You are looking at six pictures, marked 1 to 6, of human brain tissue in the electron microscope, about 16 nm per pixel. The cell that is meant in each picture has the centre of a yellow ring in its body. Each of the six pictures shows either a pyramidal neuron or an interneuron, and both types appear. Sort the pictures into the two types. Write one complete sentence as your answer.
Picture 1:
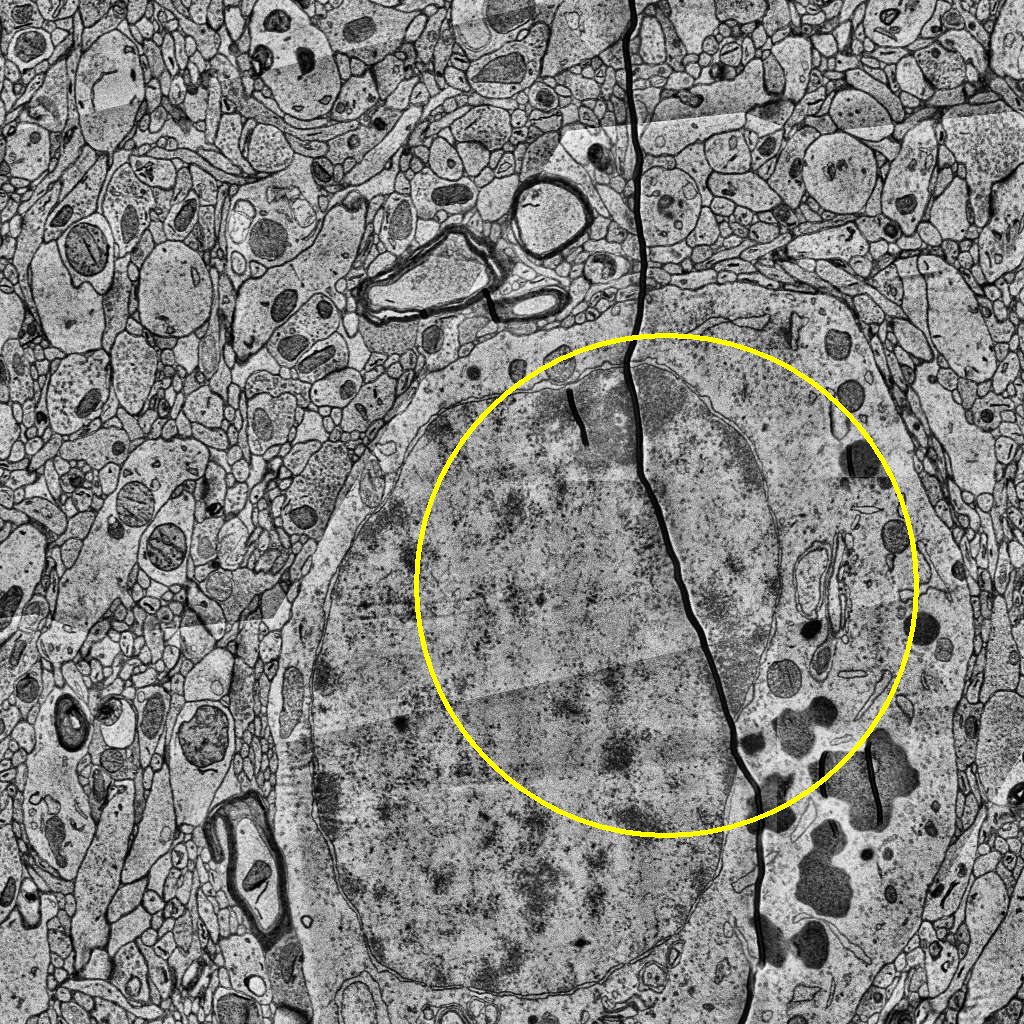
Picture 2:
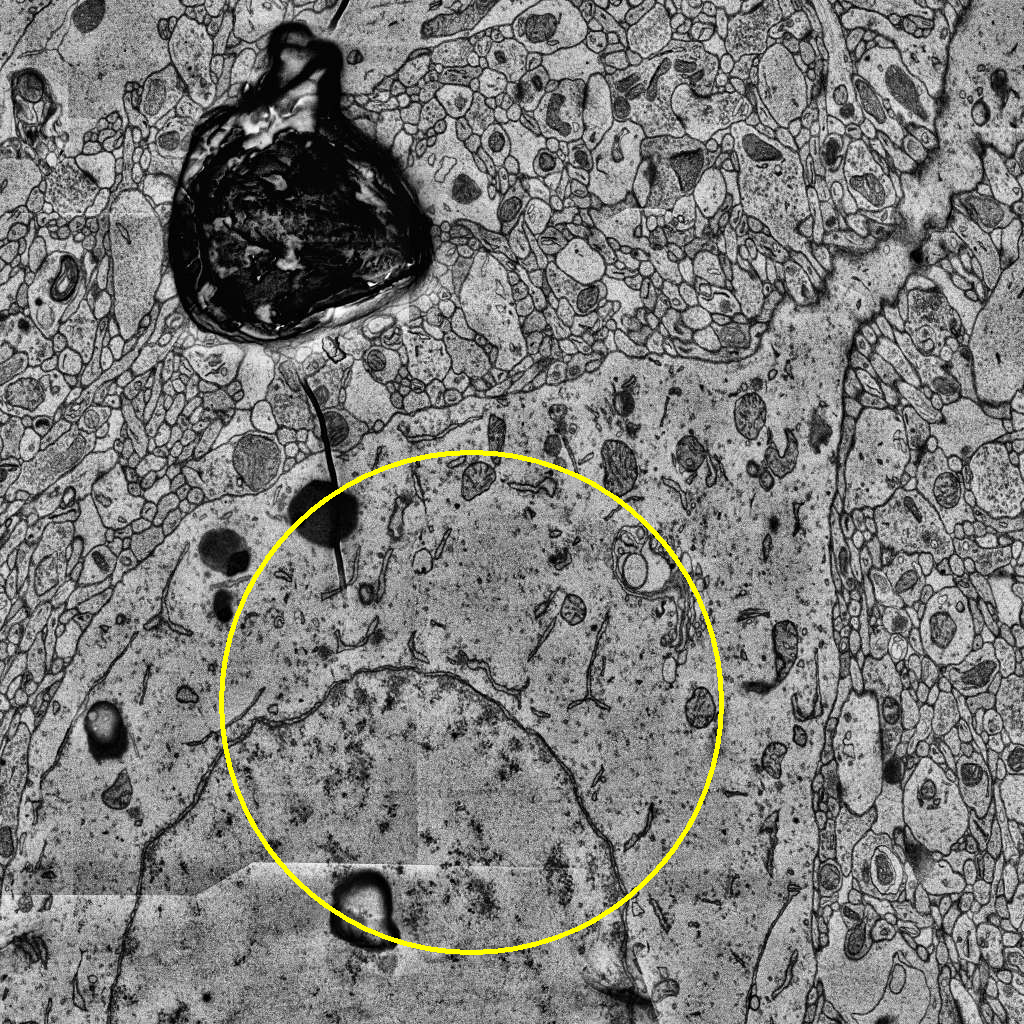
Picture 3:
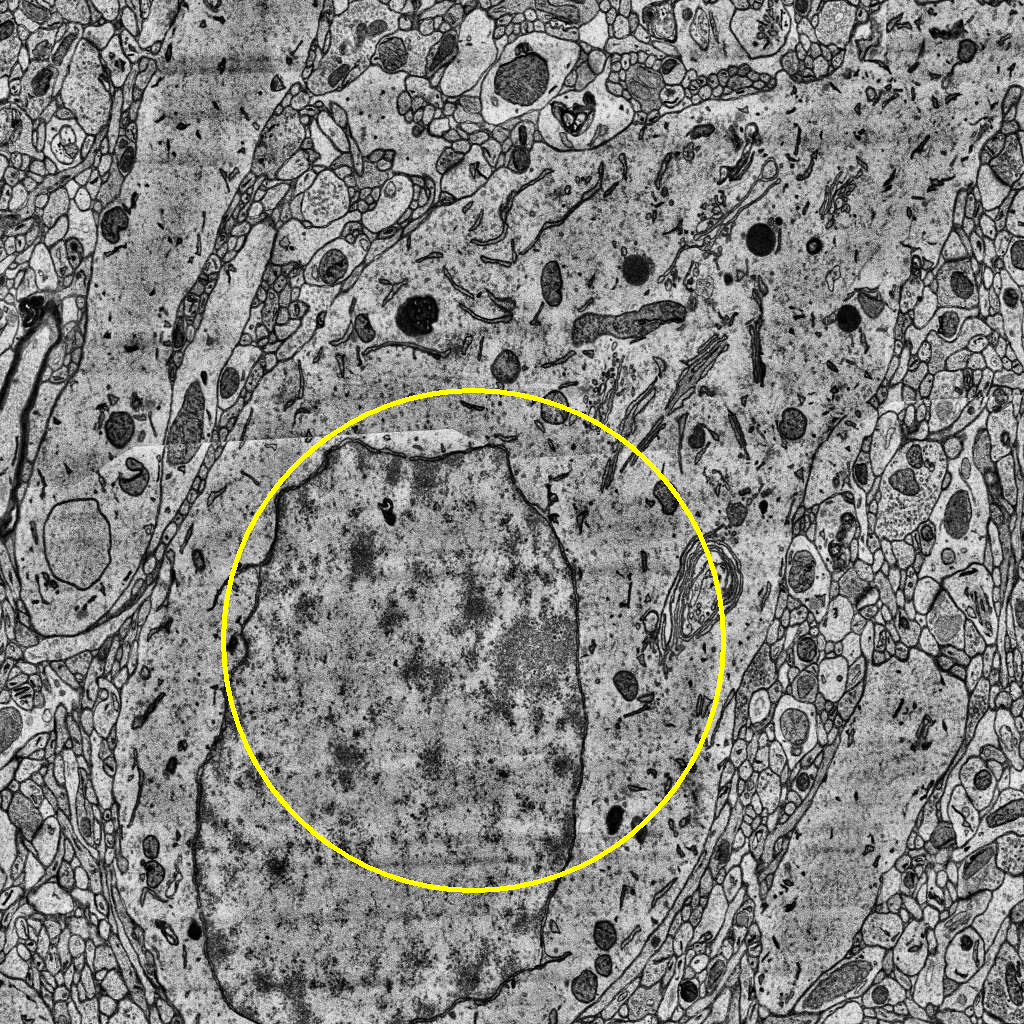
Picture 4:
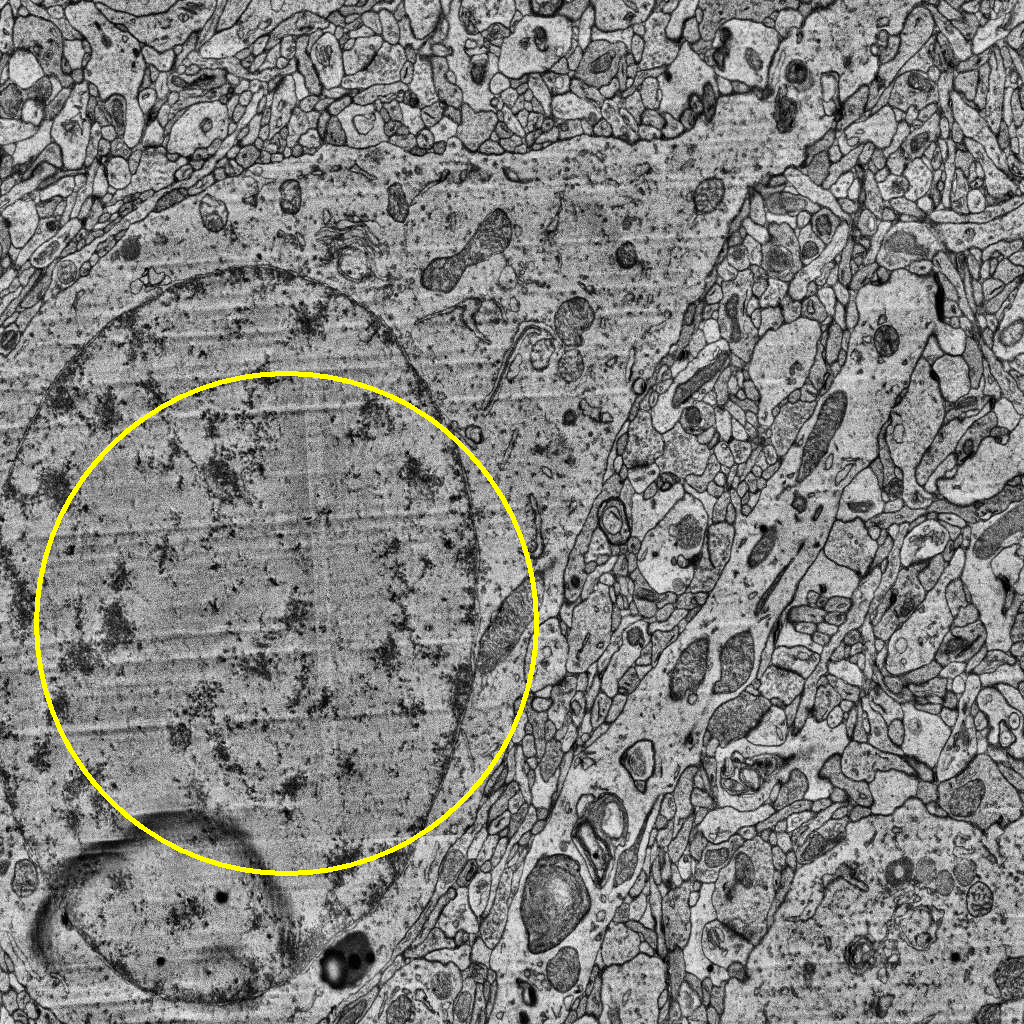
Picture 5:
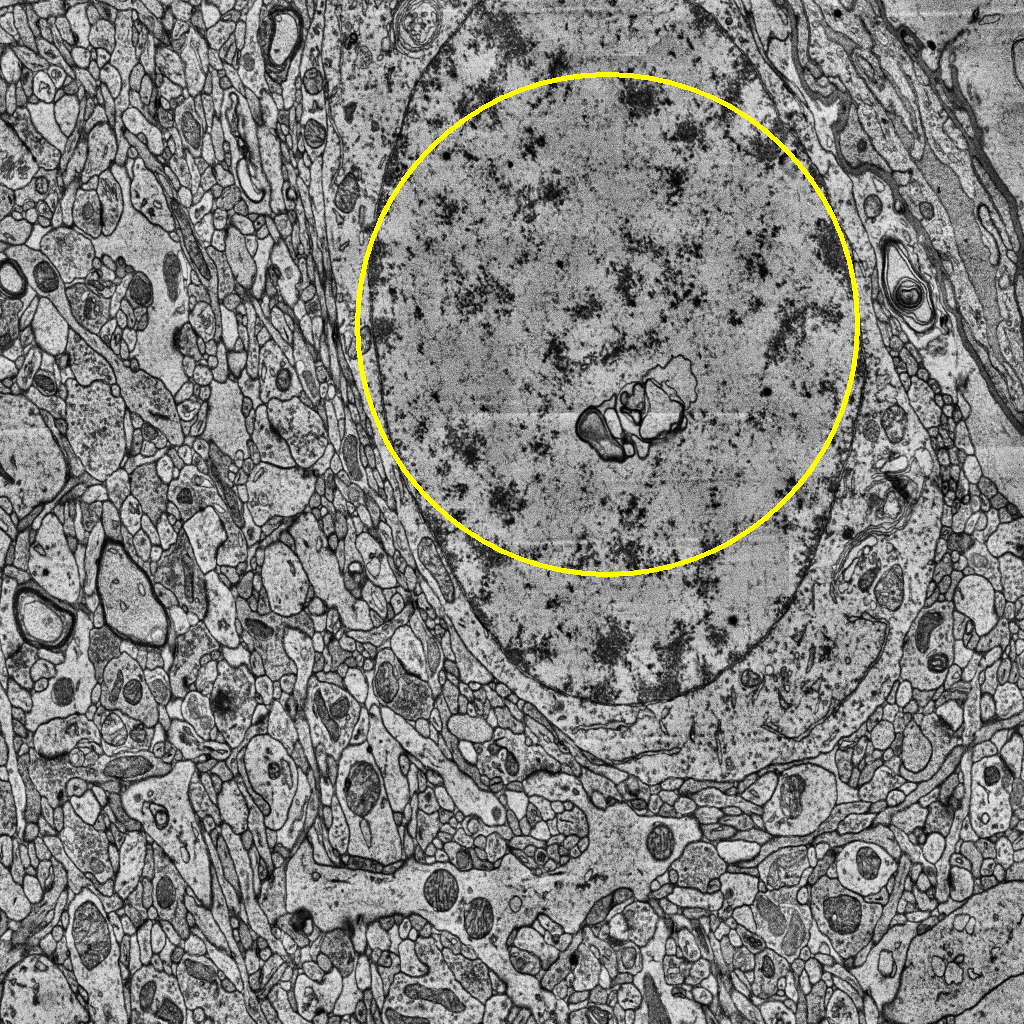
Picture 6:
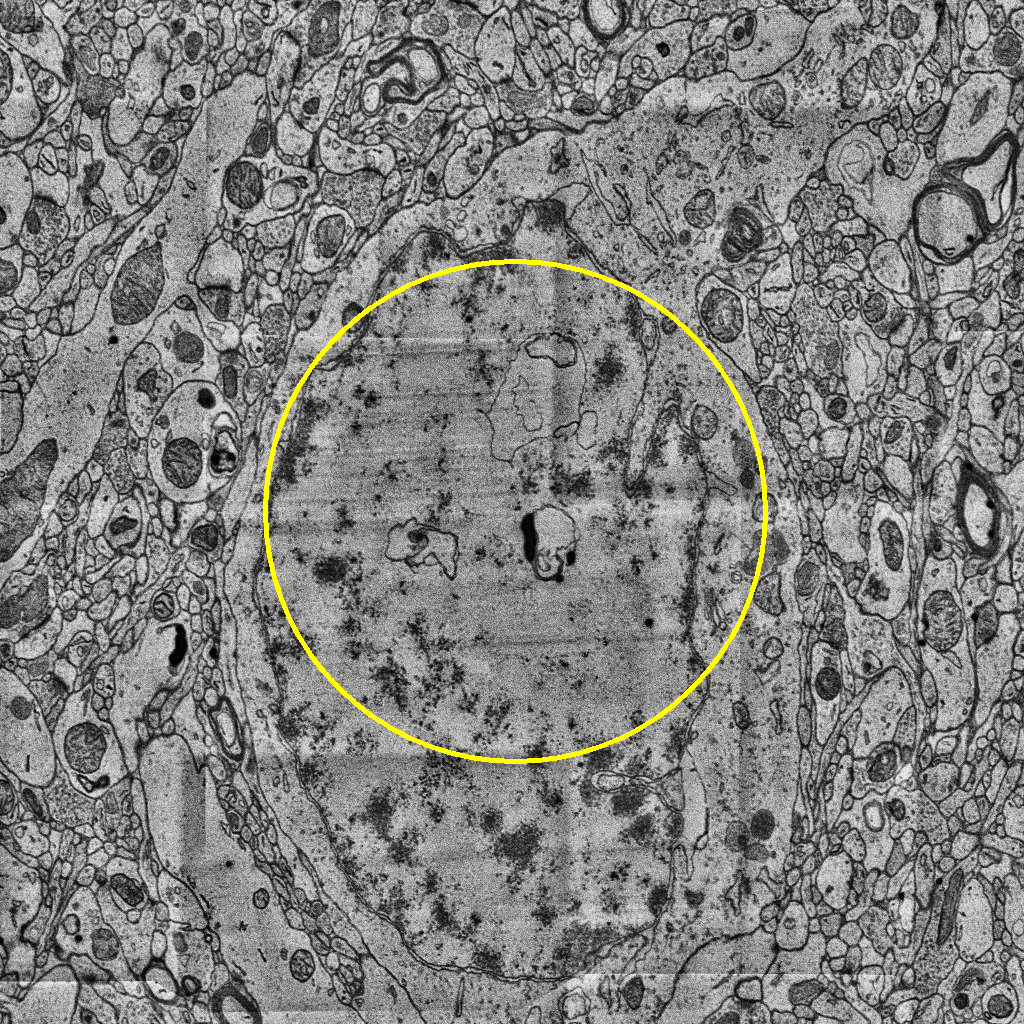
Pictures 2, 3, 4 and 5 show pyramidal neurons; pictures 1 and 6 show interneurons.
